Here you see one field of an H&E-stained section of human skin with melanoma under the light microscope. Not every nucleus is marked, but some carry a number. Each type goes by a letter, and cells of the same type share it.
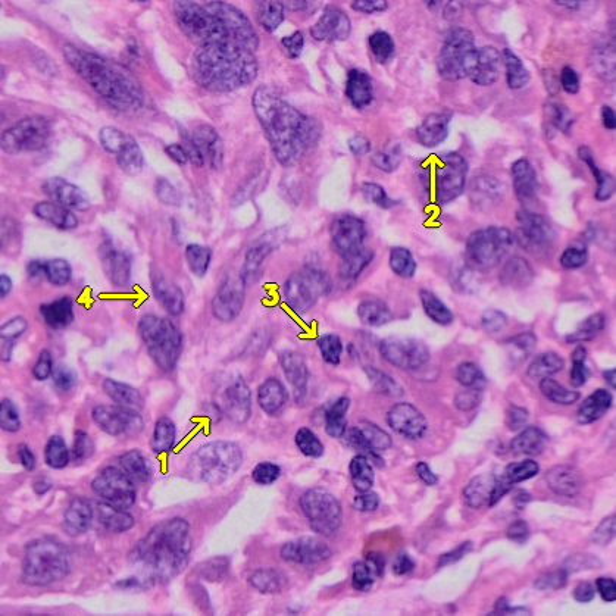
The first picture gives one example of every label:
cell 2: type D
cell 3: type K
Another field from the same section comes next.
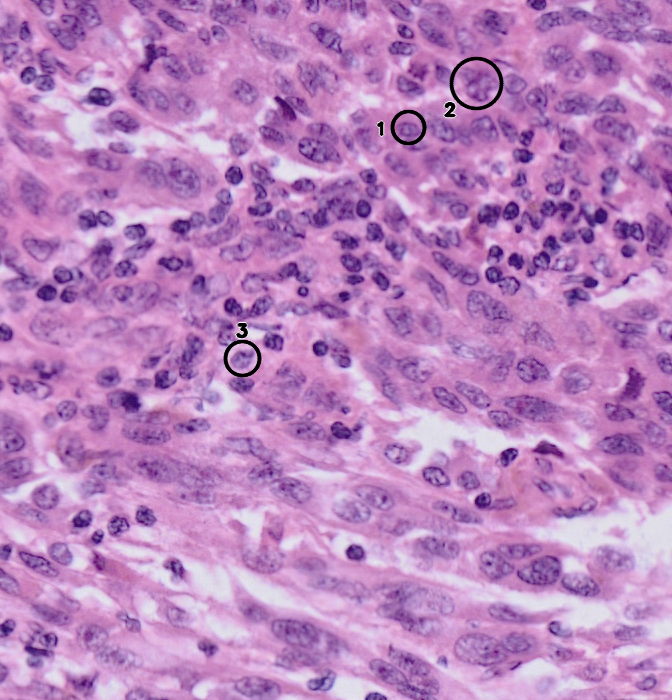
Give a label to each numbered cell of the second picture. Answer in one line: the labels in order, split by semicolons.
type D; type D; type K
